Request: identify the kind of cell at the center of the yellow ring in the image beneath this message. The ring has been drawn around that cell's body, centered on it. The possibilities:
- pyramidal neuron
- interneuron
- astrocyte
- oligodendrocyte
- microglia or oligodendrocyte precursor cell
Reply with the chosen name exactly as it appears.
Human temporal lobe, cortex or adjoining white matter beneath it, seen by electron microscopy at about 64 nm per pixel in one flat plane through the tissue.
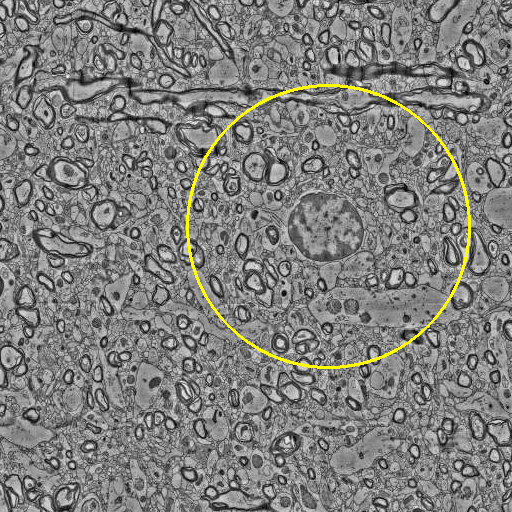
microglia or oligodendrocyte precursor cell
